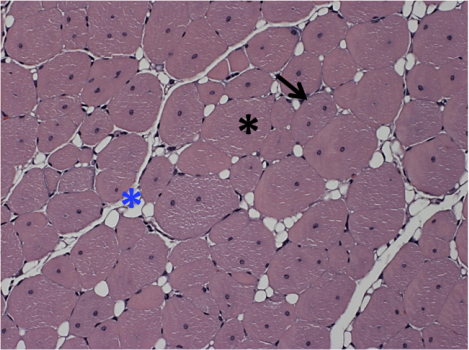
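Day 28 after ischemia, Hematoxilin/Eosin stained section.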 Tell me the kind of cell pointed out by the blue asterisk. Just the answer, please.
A: Adipose cells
